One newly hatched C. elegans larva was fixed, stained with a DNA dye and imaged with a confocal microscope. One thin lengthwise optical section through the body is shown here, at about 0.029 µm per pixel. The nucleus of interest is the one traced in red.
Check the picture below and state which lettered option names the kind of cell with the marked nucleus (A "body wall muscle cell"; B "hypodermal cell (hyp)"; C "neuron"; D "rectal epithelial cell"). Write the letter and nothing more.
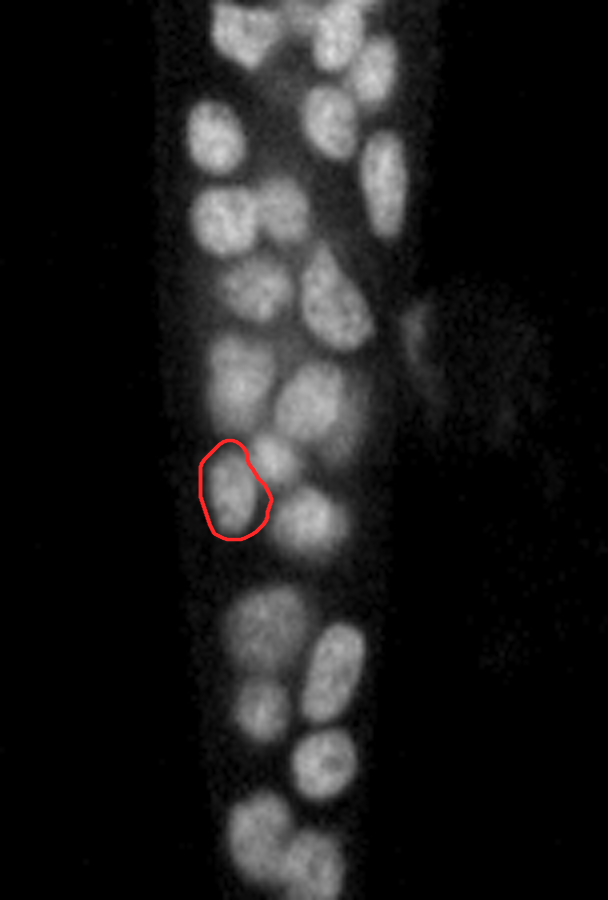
A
